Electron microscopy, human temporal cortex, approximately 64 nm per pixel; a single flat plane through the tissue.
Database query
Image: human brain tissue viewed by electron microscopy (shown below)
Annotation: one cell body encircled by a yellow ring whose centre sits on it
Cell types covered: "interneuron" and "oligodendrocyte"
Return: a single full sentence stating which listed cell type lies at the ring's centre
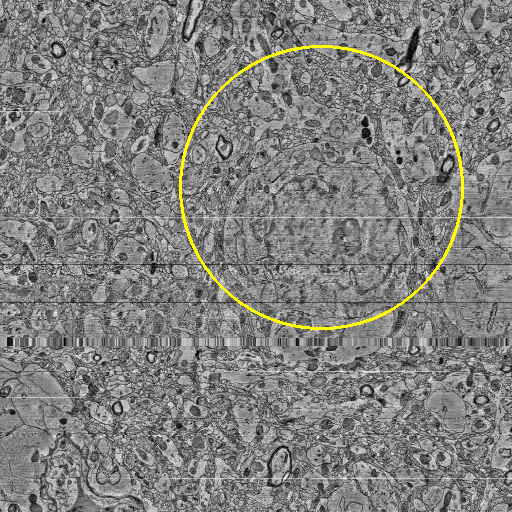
In the image, the cell lying at the ring's centre is an interneuron.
